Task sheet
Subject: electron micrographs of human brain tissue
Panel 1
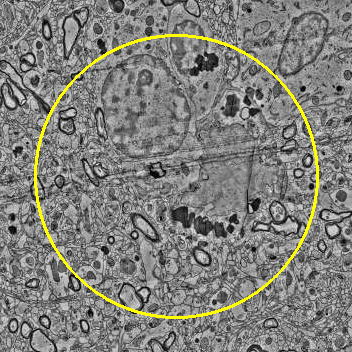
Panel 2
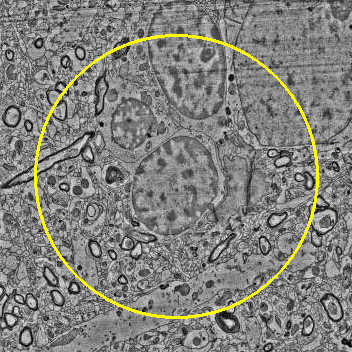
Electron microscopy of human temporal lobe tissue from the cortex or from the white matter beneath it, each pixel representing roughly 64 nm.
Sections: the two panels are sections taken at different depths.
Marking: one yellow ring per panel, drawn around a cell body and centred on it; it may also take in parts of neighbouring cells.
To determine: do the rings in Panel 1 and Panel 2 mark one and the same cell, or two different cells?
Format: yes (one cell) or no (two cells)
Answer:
yes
